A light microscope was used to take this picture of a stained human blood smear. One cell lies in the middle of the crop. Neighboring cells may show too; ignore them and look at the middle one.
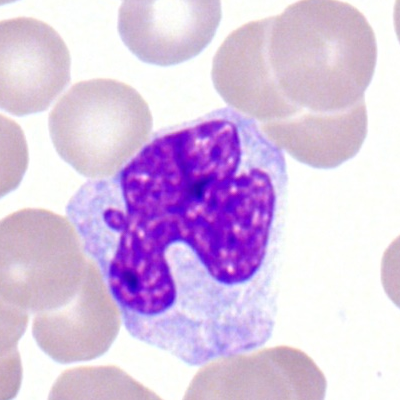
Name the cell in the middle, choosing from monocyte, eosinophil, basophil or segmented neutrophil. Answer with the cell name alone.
monocyte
